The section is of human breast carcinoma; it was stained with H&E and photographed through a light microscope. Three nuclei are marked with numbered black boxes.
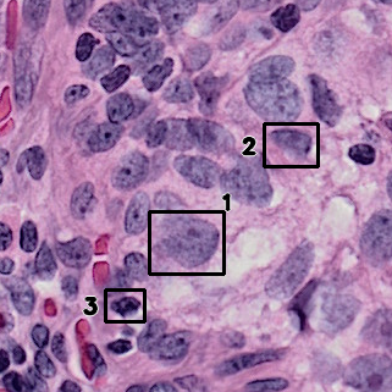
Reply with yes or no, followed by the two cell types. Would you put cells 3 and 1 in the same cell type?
No, in this section cell 3 is a lymphocyte and cell 1 is a carcinoma cell.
